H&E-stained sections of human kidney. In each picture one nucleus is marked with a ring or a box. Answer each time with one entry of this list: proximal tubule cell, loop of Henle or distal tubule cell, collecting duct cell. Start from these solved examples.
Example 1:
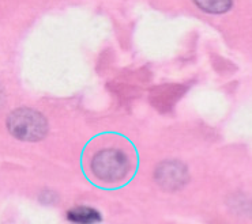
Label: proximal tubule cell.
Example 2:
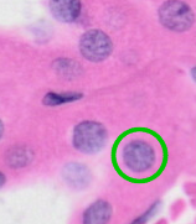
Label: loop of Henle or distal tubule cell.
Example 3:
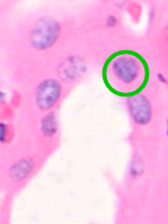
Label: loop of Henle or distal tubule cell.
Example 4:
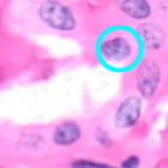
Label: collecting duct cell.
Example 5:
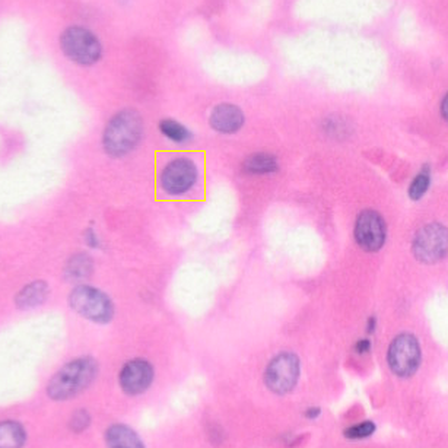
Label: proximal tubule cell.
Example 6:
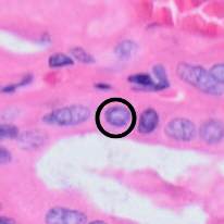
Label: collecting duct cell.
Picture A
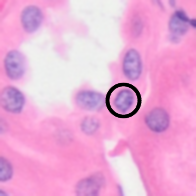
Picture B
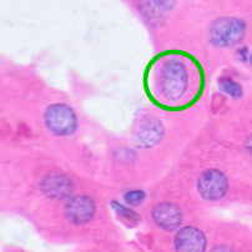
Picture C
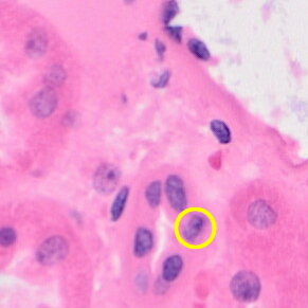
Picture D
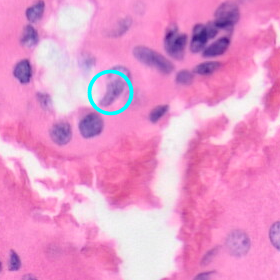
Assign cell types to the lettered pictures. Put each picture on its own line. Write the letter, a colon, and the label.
A: collecting duct cell.
B: loop of Henle or distal tubule cell.
C: collecting duct cell.
D: collecting duct cell.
